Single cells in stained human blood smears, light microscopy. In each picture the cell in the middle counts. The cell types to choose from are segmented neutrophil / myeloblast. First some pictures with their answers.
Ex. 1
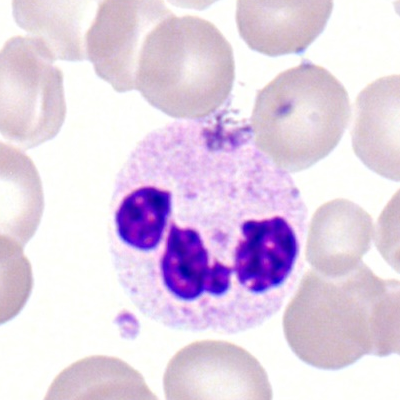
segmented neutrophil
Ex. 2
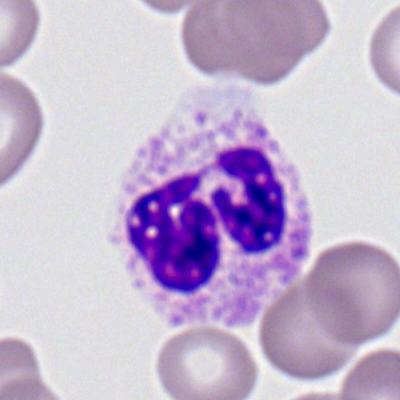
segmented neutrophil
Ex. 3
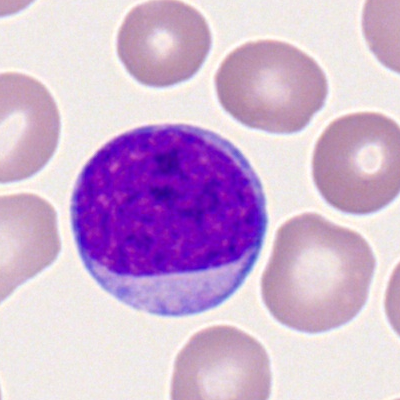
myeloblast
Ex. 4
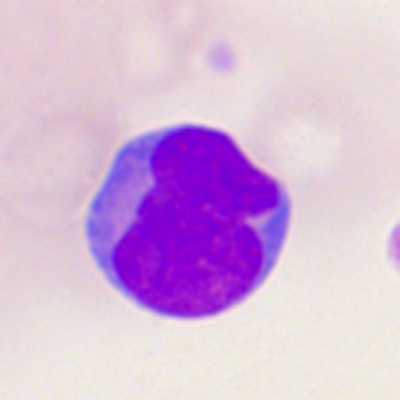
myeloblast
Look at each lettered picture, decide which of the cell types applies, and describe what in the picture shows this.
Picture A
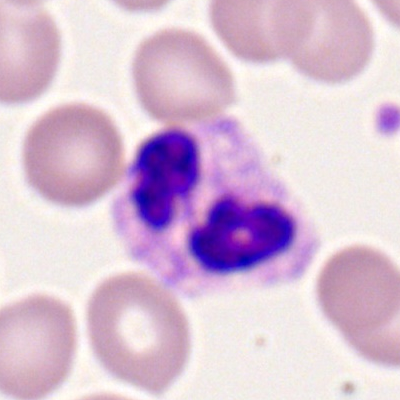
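segmented neutrophil. The nucleus is divided into two separate-looking lobes.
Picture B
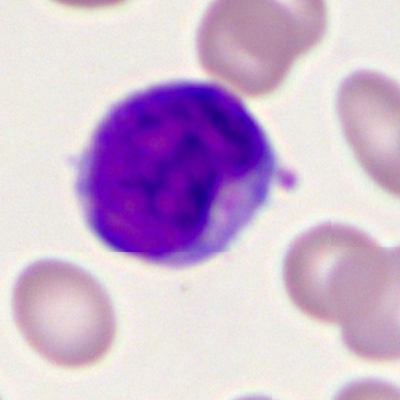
myeloblast. The nucleus fills most of the cell.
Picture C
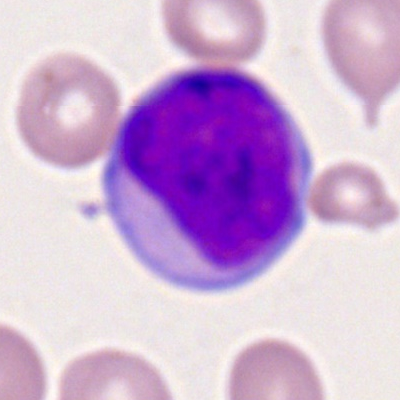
myeloblast. The nucleus fills most of the cell and sits toward the upper right.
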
